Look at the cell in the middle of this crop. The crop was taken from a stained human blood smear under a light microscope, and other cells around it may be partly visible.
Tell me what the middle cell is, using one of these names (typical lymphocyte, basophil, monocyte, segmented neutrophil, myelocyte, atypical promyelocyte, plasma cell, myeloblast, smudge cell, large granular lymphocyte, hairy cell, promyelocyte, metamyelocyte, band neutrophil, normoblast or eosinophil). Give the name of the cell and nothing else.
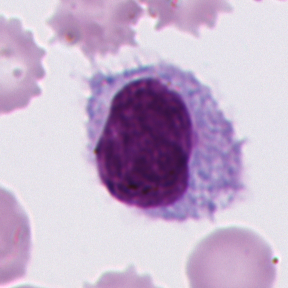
hairy cell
